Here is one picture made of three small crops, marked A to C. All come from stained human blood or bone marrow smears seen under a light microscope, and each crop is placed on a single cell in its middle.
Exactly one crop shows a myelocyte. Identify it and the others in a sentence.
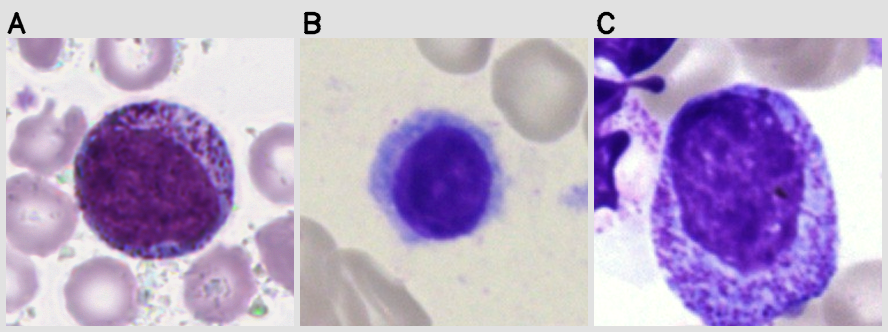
In this set, crop C shows a myelocyte, whereas crop A is a promyelocyte and crop B is a hairy cell.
